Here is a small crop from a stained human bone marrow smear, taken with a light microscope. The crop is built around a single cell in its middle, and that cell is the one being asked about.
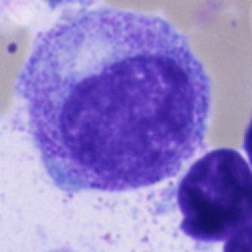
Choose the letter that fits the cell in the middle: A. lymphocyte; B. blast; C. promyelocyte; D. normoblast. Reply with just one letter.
C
